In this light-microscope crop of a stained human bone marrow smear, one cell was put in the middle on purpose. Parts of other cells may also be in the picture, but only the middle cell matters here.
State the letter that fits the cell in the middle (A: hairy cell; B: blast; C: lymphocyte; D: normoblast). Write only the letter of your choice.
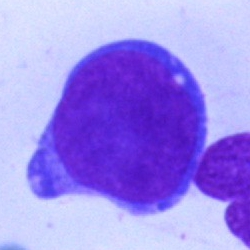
B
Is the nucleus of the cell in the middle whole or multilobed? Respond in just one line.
The nucleus is one compact mass, round, oval or kidney-shaped in outline.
